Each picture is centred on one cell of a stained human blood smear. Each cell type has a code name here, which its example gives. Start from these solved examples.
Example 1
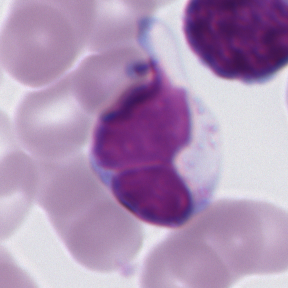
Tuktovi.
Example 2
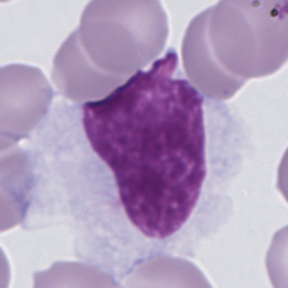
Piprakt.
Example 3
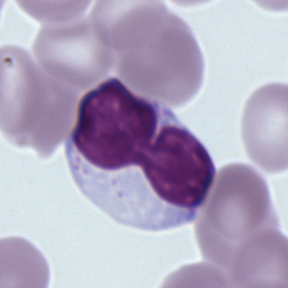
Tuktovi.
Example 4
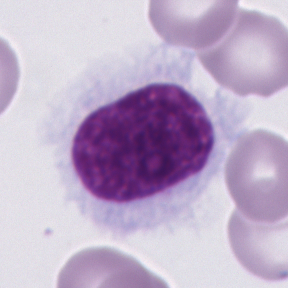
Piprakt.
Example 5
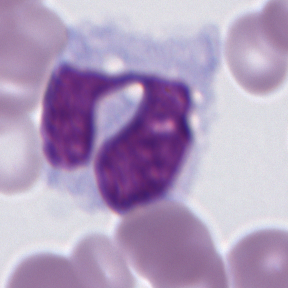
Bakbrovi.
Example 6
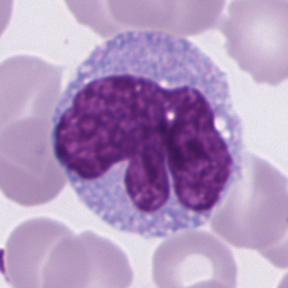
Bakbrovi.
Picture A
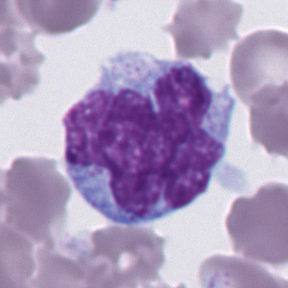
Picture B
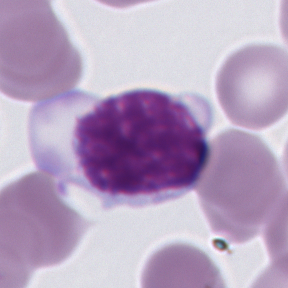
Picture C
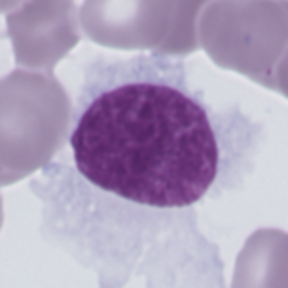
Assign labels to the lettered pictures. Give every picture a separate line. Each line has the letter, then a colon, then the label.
A: Bakbrovi.
B: Tuktovi.
C: Piprakt.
